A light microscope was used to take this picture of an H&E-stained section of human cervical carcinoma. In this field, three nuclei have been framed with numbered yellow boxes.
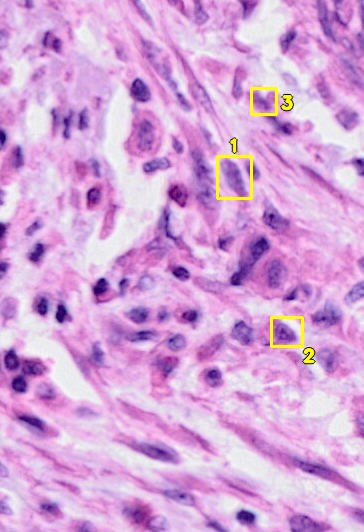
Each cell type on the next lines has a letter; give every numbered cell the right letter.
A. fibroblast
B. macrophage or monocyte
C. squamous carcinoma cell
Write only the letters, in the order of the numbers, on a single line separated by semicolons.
A; B; A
